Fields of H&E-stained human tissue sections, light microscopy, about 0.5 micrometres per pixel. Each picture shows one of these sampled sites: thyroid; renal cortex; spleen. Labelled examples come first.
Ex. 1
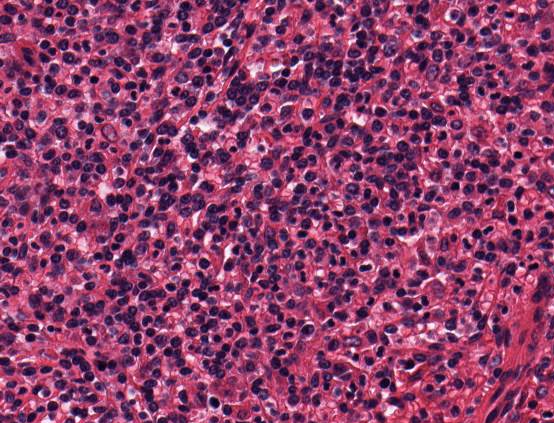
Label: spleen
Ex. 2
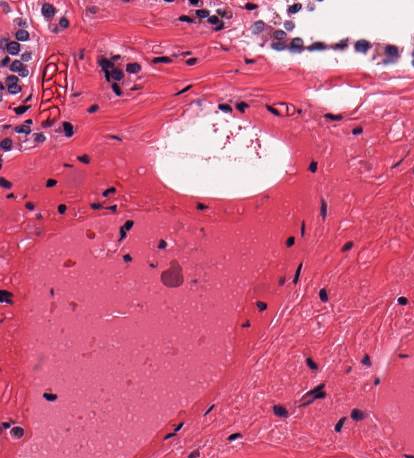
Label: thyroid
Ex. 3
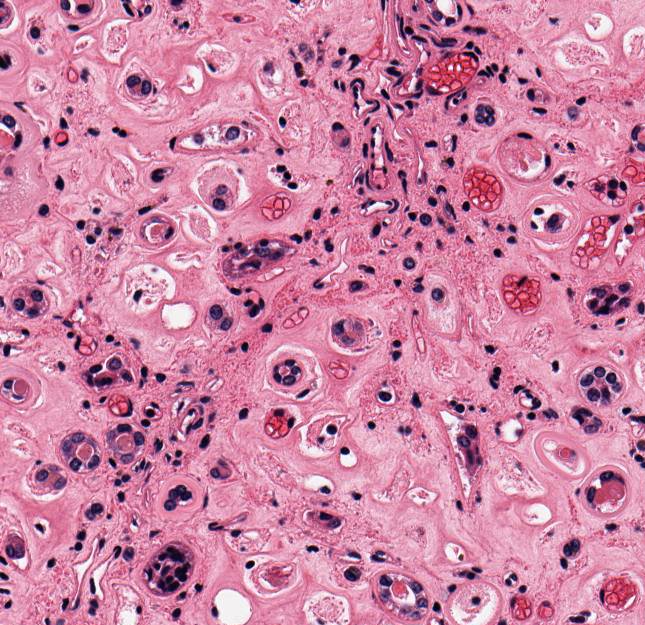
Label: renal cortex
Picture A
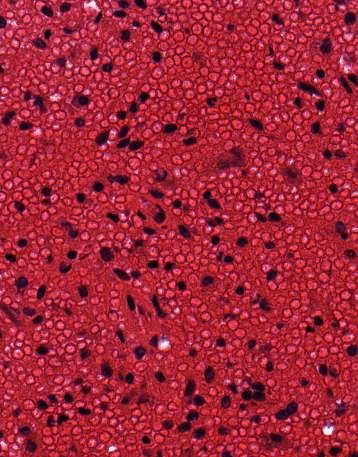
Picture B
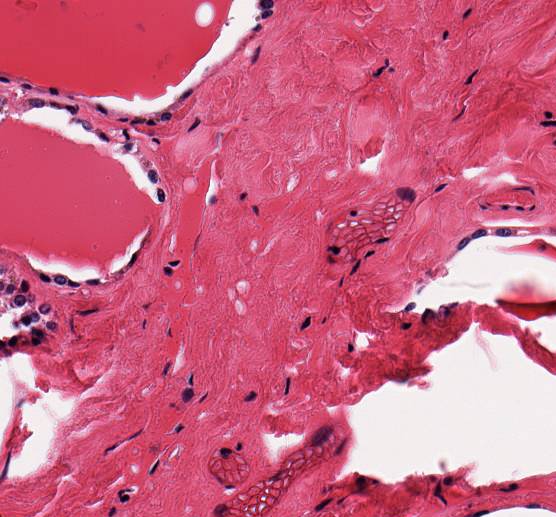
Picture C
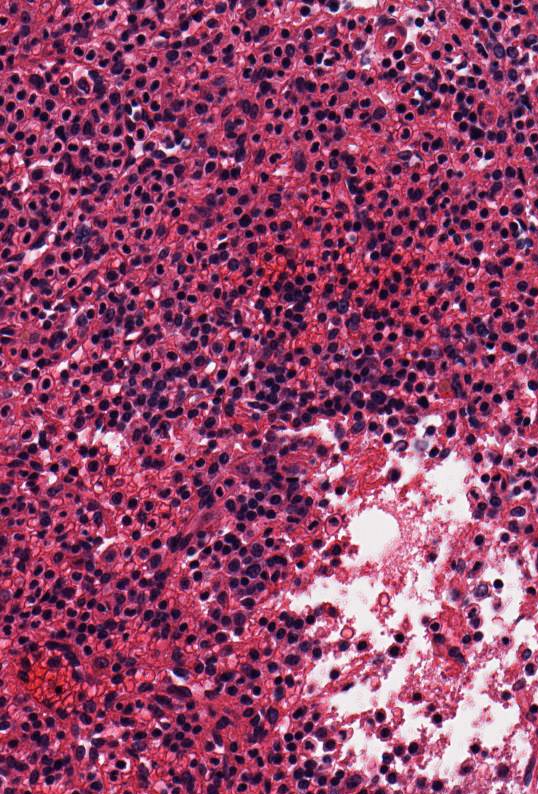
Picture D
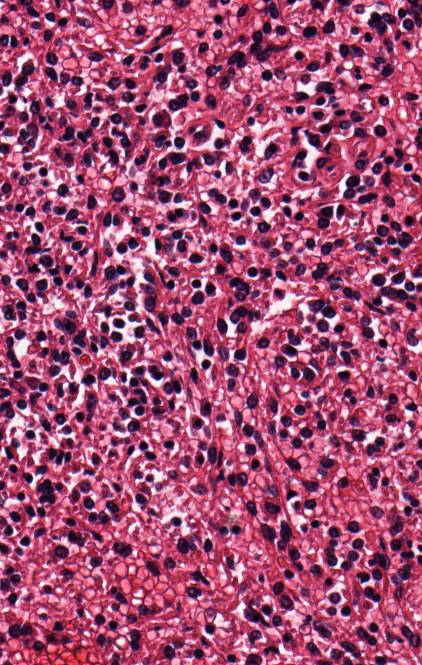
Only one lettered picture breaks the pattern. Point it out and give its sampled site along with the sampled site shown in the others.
B differs and shows thyroid; the others show spleen.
